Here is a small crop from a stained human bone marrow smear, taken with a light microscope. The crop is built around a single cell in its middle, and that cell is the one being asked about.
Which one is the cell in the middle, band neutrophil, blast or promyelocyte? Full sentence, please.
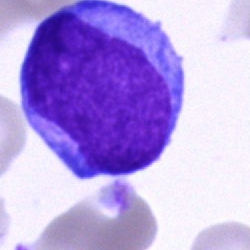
In the centre of this crop there is a blast.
